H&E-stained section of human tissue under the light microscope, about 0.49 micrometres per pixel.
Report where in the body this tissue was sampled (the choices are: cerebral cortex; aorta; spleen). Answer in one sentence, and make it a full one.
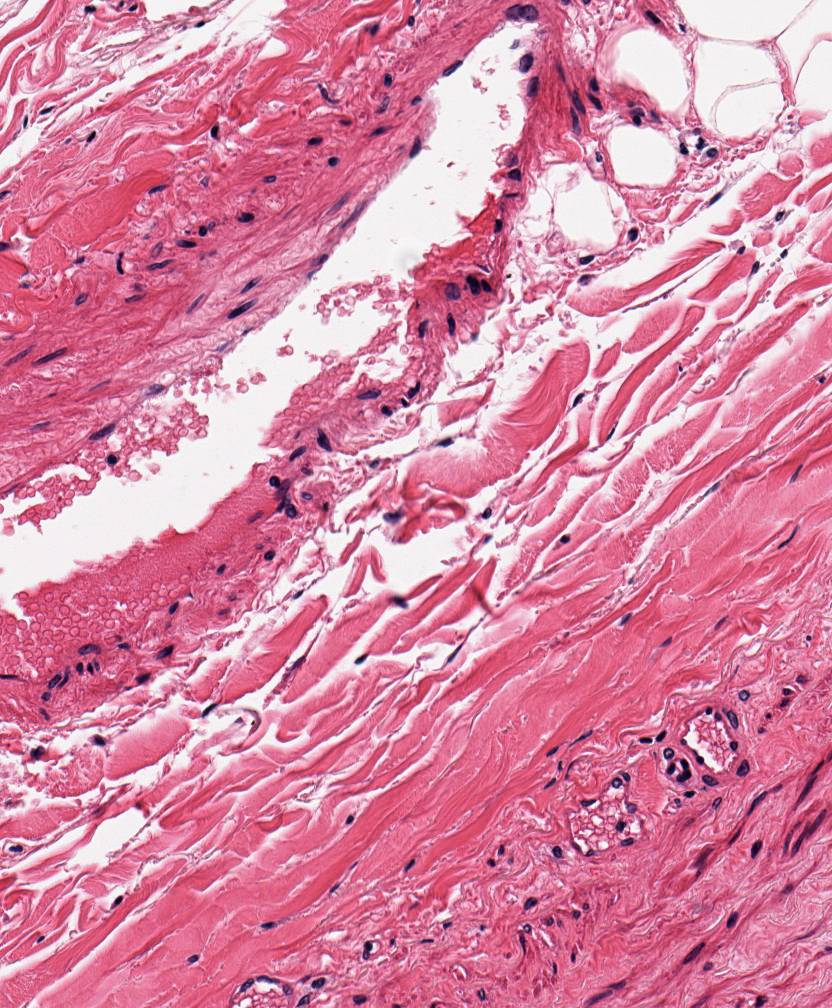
The specimen on this slide came from the aorta.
